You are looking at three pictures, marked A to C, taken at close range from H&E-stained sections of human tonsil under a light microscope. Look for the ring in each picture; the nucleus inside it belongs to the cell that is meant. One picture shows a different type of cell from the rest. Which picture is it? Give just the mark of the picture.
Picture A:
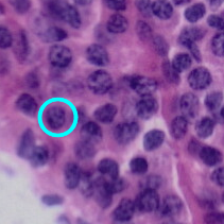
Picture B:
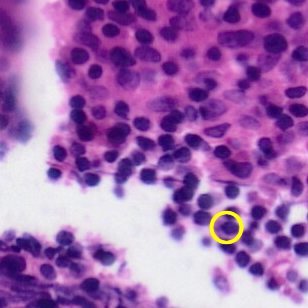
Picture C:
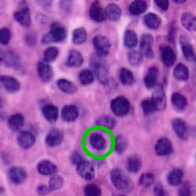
B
